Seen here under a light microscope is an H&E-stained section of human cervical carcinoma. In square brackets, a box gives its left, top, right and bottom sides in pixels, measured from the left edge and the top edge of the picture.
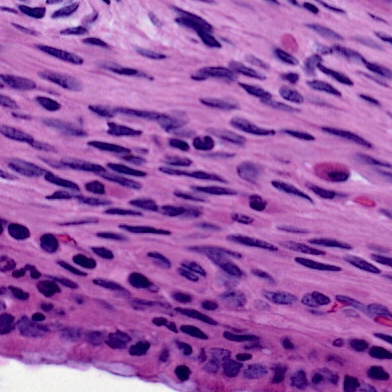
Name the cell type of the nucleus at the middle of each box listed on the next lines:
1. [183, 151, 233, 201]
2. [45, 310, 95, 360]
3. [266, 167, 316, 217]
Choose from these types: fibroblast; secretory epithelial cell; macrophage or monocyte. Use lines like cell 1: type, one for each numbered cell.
cell 1: fibroblast
cell 2: secretory epithelial cell
cell 3: fibroblast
